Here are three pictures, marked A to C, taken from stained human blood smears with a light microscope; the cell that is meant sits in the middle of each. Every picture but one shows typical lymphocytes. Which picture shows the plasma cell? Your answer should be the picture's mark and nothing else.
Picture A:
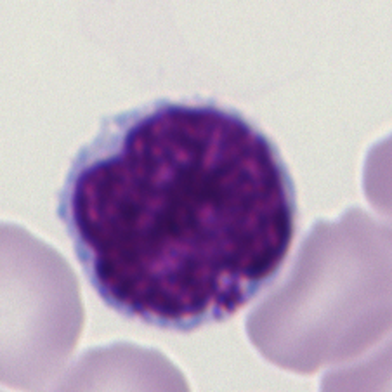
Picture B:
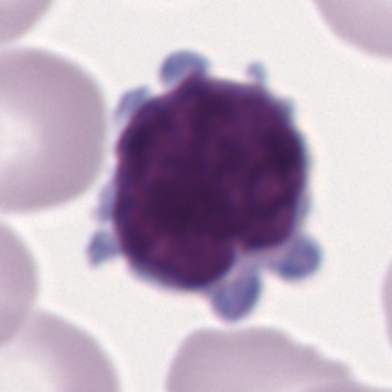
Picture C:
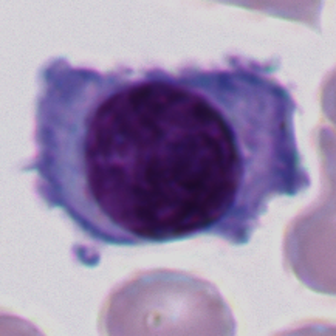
C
